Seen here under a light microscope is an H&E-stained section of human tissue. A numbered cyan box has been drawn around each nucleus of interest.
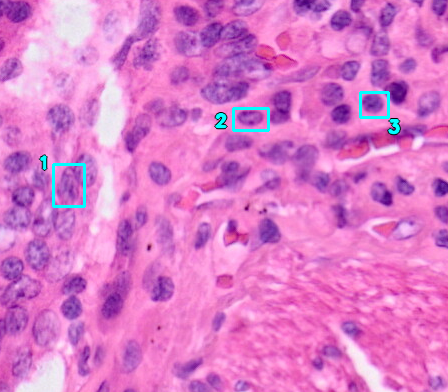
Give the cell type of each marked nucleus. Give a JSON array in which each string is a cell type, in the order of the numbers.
["ciliated epithelial cell", "mast cell", "lymphocyte"]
